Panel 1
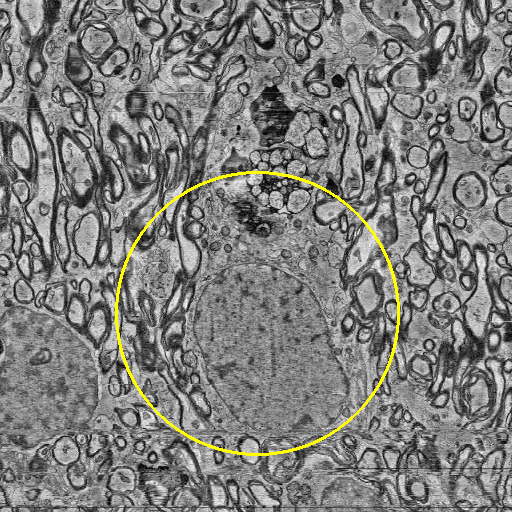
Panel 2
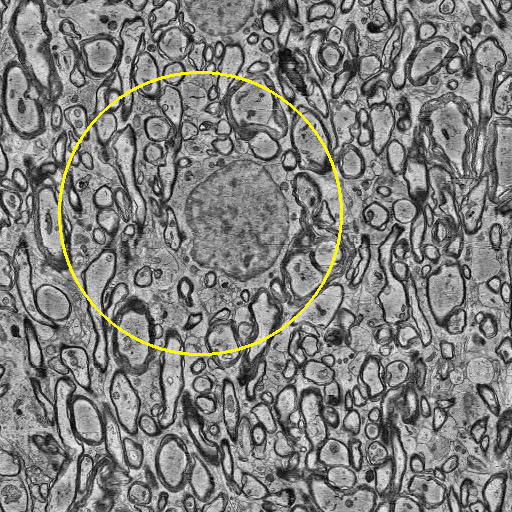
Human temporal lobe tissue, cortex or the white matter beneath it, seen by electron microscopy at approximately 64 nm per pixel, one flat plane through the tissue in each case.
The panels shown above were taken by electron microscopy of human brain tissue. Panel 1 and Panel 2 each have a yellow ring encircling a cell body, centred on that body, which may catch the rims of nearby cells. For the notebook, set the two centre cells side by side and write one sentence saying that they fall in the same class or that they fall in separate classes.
The centred cells of Panel 1 and Panel 2 fall in separate classes.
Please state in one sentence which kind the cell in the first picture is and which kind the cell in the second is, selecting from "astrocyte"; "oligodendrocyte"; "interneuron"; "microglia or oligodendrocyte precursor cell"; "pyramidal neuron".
The first ringed cell is an astrocyte, the second ringed cell an oligodendrocyte.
